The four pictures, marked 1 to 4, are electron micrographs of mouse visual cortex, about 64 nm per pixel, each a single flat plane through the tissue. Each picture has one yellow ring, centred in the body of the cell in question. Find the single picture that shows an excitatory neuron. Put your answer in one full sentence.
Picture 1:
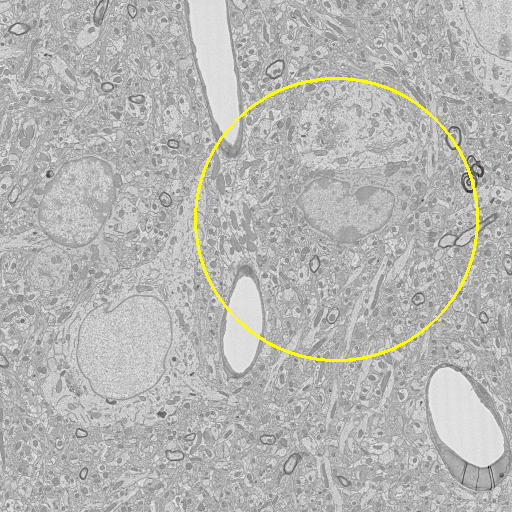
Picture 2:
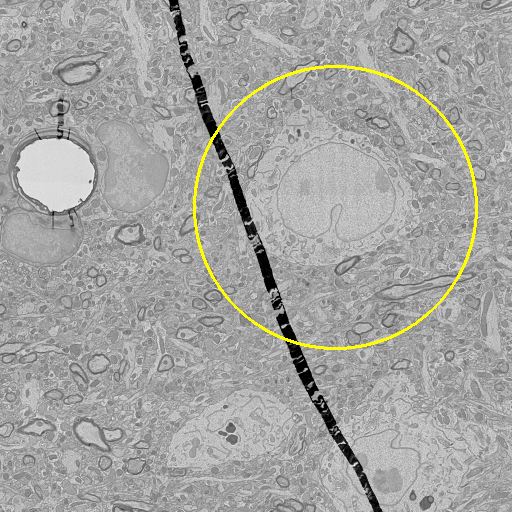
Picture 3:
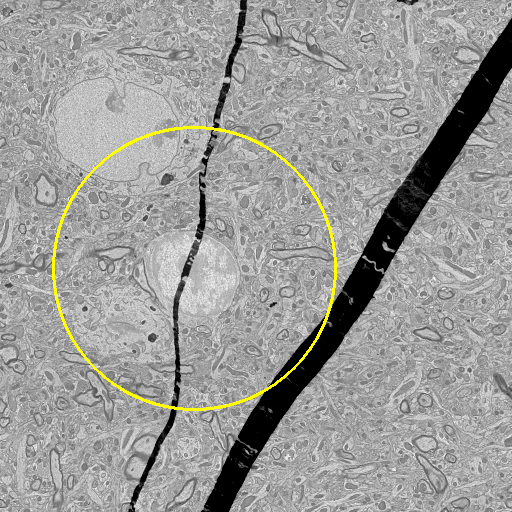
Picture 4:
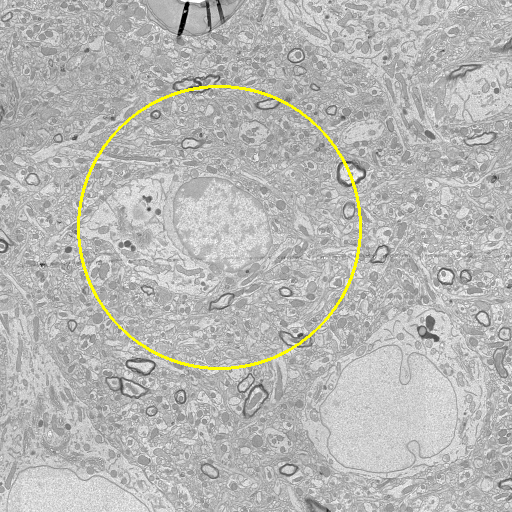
Picture 2 shows the excitatory neuron.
